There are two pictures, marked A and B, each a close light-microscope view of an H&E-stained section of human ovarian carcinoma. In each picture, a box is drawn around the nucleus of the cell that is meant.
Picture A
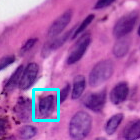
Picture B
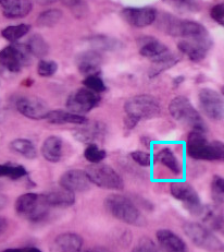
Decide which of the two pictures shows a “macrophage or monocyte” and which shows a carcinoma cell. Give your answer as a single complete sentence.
Picture A is of a “macrophage or monocyte”, and picture B is of a carcinoma cell.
